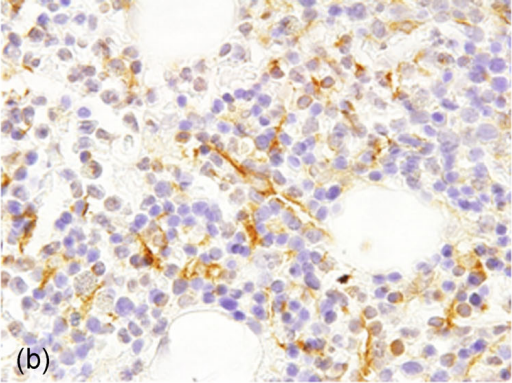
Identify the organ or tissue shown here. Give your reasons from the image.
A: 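Densely packed small round blue-nucleated hematopoietic cells. Large clear round fat spaces interspersed. The answer: bone marrow.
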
